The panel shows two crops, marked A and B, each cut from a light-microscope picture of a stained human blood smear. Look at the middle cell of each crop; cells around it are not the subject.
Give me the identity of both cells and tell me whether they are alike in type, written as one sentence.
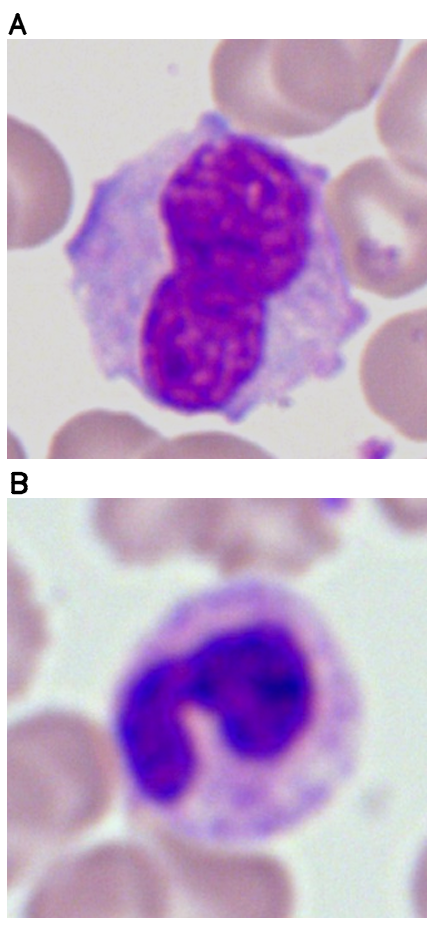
No, crop A should be called a monocyte, and crop B should be called a band neutrophil.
